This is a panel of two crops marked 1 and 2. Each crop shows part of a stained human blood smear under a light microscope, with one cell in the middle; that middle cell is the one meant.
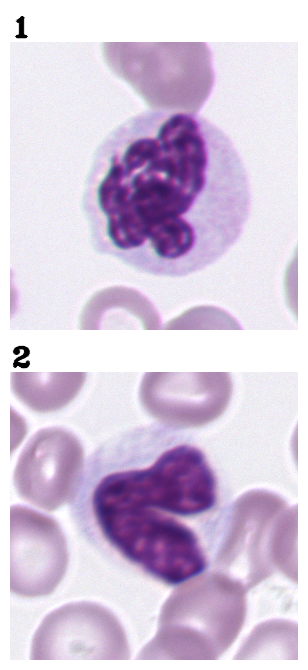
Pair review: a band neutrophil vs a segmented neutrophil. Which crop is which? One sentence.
The cell at the centre of crop 1 is a segmented neutrophil, and at the centre of crop 2, a band neutrophil.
